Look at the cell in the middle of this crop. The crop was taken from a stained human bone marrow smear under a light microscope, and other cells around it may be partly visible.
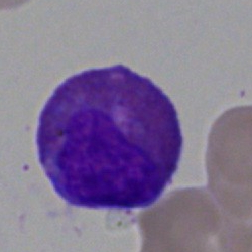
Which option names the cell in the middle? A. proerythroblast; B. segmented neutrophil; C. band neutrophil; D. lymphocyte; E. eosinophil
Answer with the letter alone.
E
